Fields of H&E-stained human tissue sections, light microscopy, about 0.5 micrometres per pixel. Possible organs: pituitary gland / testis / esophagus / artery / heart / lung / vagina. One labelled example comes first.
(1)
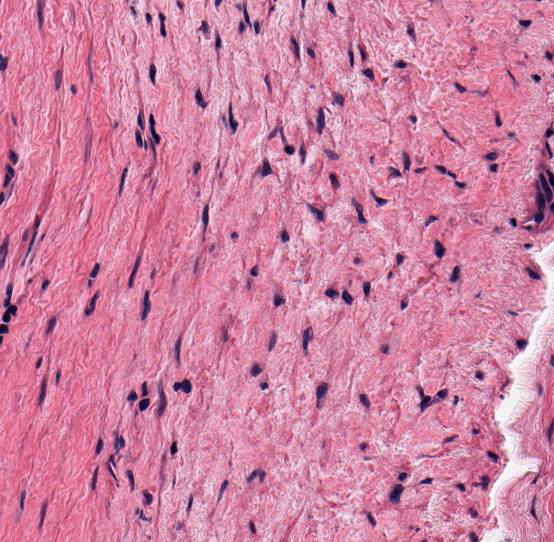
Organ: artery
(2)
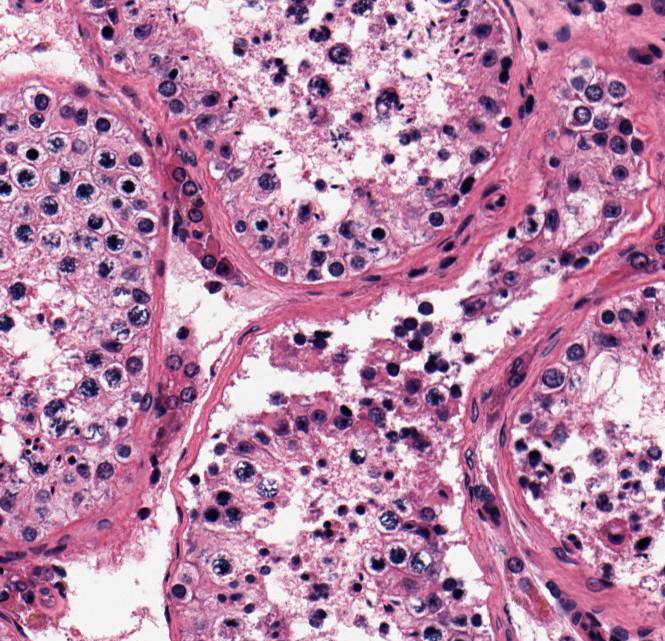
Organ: testis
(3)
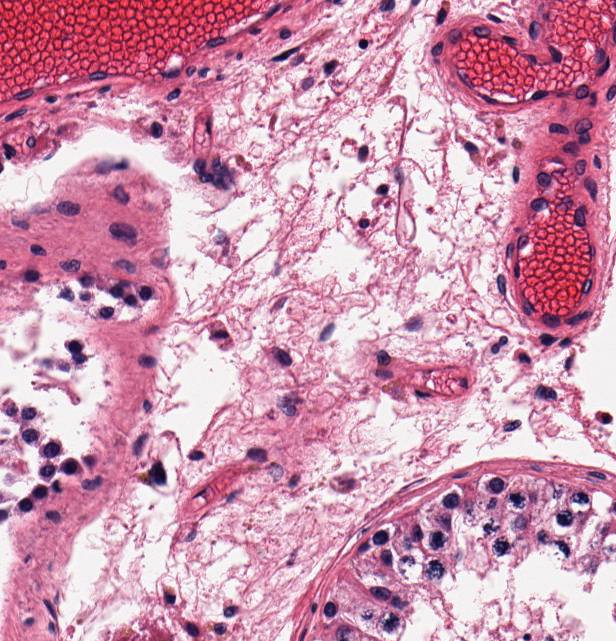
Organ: testis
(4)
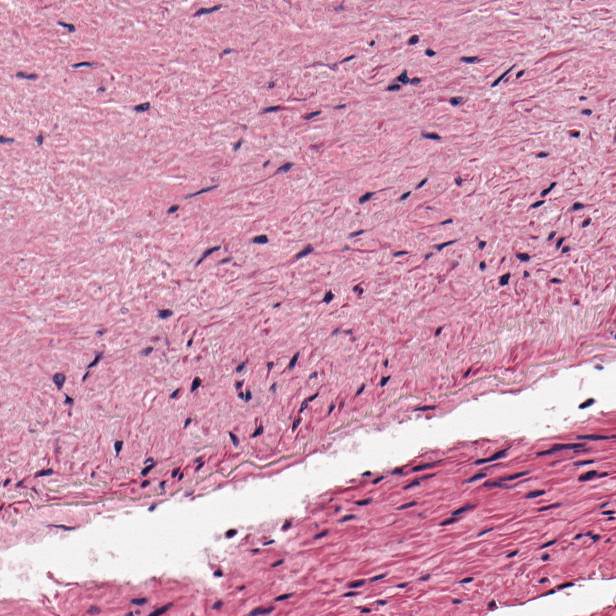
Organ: artery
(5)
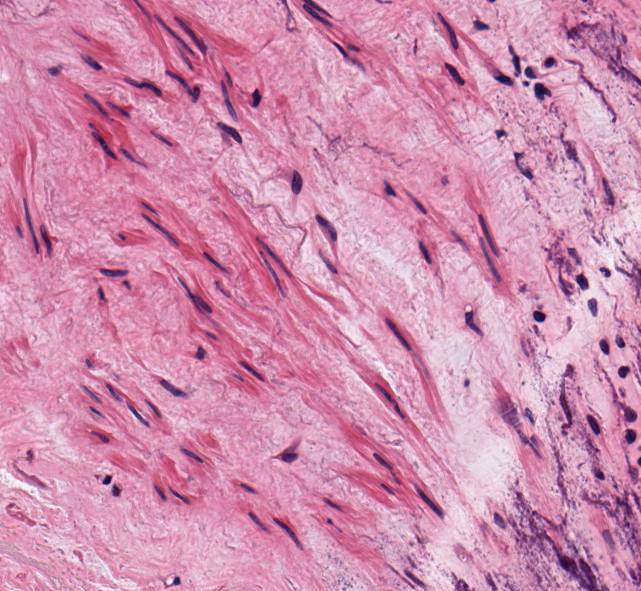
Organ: artery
